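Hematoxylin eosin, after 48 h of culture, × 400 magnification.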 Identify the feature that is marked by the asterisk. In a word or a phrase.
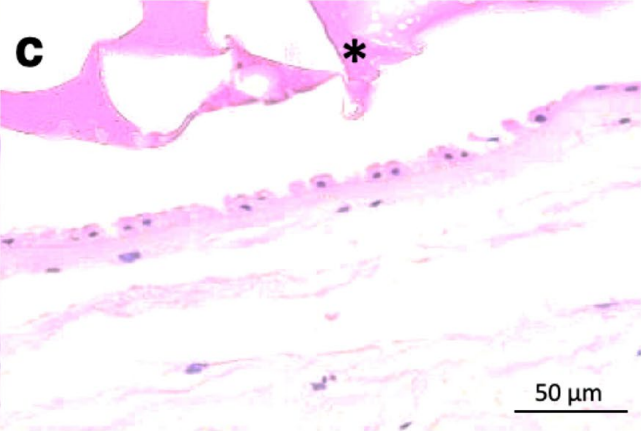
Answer: Eosinophilic material.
